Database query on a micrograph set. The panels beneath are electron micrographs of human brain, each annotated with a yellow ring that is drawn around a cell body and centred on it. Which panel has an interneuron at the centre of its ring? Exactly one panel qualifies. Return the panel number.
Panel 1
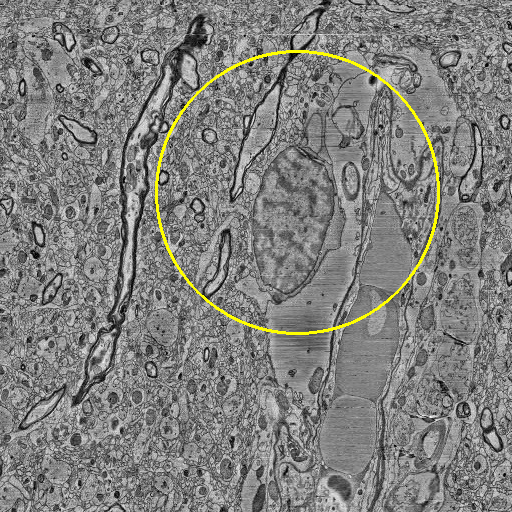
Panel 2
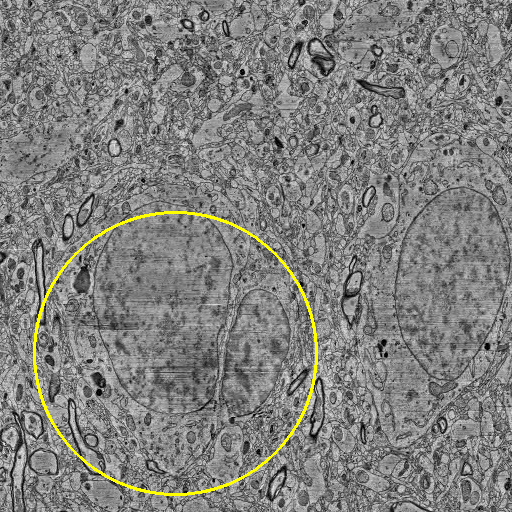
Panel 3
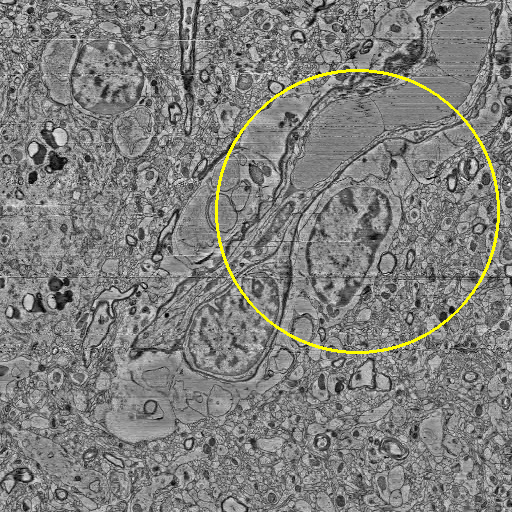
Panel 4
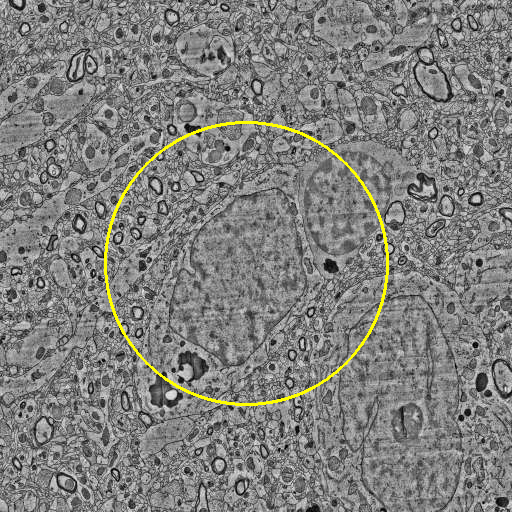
4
